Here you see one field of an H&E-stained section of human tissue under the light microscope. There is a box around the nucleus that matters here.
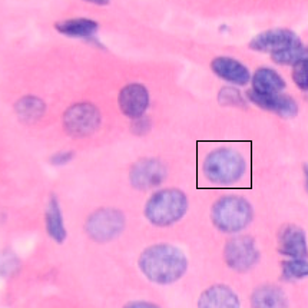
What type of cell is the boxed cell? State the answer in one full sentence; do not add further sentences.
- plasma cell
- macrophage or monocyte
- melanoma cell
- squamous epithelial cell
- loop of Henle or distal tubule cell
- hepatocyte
Considered by cell type, the boxed cell is a loop of Henle or distal tubule cell.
